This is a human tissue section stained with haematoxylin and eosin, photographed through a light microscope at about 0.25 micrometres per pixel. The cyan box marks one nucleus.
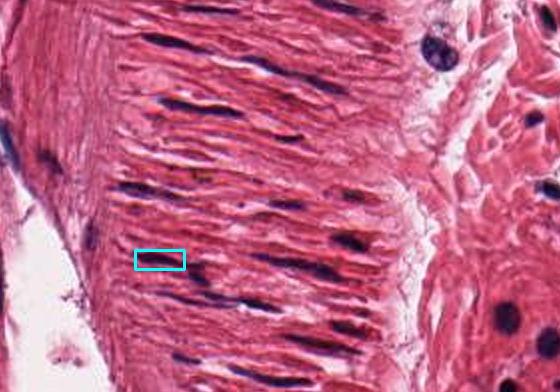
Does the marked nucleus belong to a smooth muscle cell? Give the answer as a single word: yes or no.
yes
